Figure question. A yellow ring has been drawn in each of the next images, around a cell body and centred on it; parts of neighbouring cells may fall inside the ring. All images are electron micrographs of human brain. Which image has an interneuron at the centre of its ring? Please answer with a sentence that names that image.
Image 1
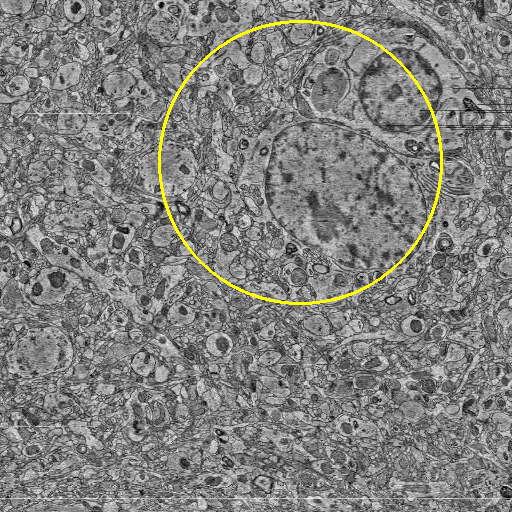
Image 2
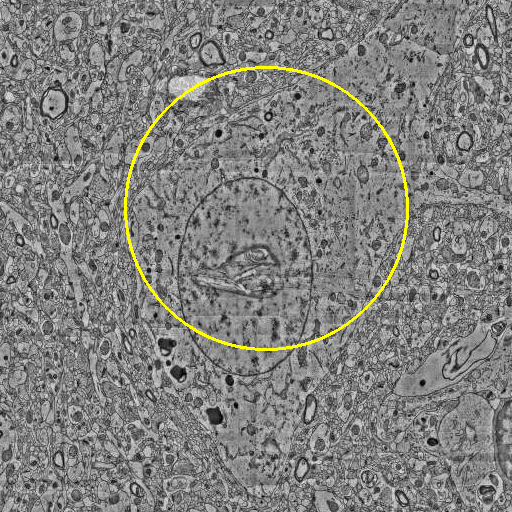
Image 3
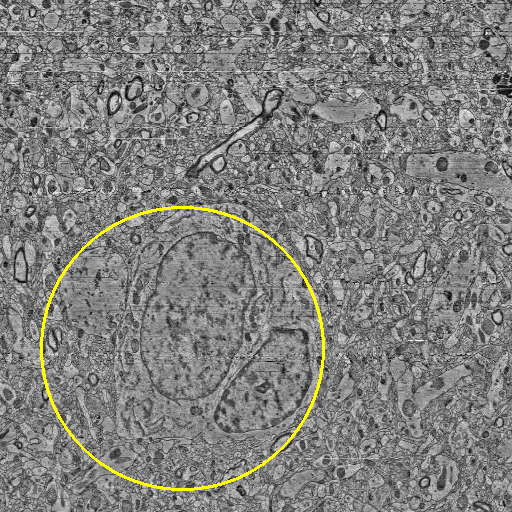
The cell at the centre of the ring in Image 3 is of that kind.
